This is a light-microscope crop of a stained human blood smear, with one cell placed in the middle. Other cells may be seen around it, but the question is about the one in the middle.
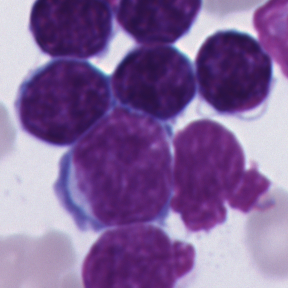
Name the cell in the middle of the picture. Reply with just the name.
myeloblast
